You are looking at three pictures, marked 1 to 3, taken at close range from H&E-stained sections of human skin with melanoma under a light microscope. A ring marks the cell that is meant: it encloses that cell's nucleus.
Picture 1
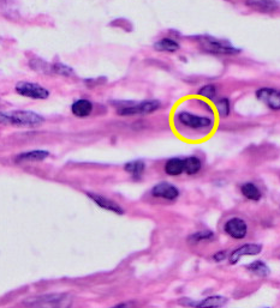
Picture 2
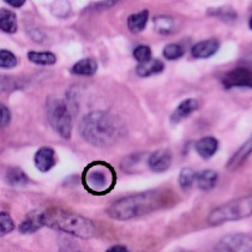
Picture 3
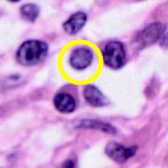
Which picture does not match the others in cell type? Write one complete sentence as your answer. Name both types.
The different one is picture 1; it shows a plasma cell, whereas all the others show lymphocytes.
